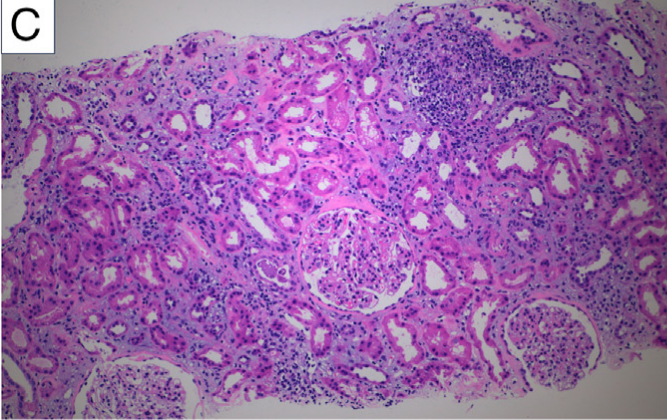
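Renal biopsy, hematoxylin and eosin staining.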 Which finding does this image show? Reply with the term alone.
Focal interstitial lymphocyte infiltration.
